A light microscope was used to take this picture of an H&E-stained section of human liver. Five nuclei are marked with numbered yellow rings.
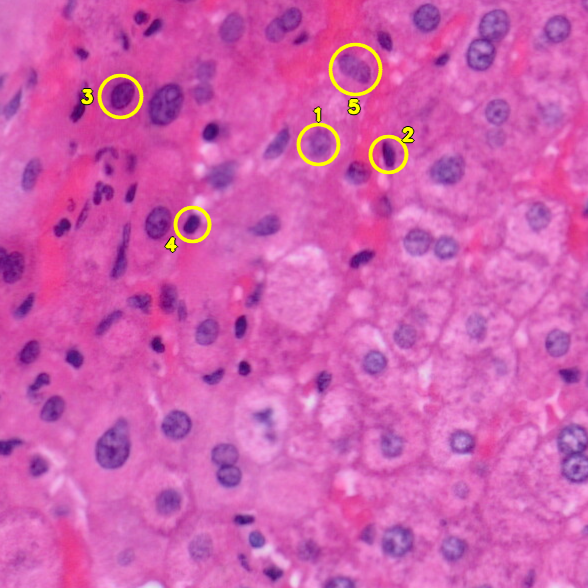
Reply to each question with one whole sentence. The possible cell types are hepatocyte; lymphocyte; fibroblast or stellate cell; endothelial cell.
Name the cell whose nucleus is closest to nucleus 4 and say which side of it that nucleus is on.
Lying to the left of nucleus 4, the nearest nucleus is that of a hepatocyte.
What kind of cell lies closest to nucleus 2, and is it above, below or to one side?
The closest nucleus belongs to an endothelial cell and sits below and to the left of nucleus 2.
